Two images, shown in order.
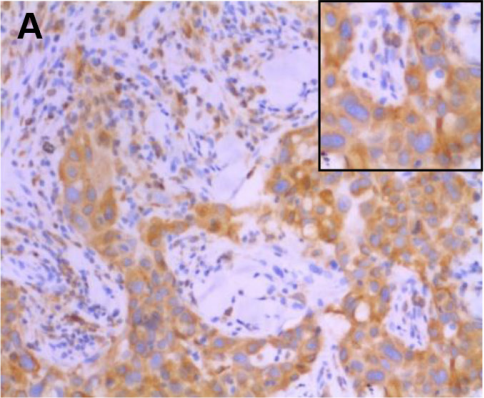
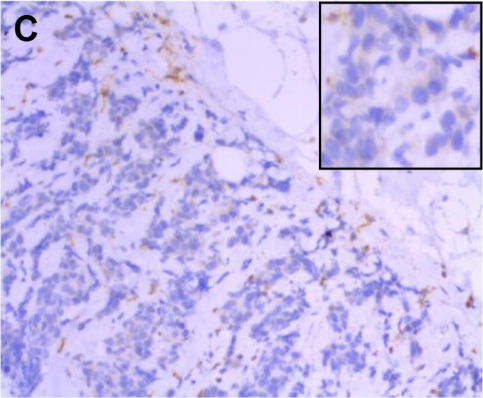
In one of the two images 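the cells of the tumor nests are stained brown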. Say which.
The first image.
